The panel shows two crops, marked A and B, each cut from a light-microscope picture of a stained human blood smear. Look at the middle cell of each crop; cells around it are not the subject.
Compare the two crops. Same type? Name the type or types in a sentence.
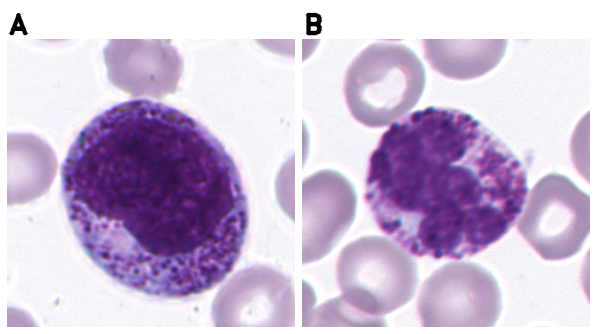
No, in crop B the central cell is a basophil, and in crop A it is a promyelocyte.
